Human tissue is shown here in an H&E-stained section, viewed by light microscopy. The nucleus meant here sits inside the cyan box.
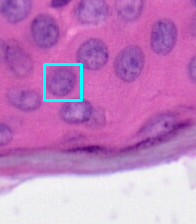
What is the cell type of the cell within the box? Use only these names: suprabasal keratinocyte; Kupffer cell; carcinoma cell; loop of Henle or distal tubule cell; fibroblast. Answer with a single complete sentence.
As to its cell type, the cell within the box is a suprabasal keratinocyte.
